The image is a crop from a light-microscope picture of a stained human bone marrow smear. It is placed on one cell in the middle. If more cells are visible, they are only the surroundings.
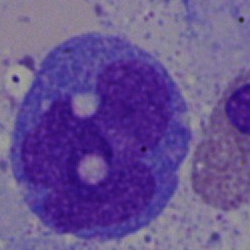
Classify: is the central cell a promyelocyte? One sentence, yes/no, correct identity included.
No, this is not a promyelocyte at all; the cell in the middle is a monocyte.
